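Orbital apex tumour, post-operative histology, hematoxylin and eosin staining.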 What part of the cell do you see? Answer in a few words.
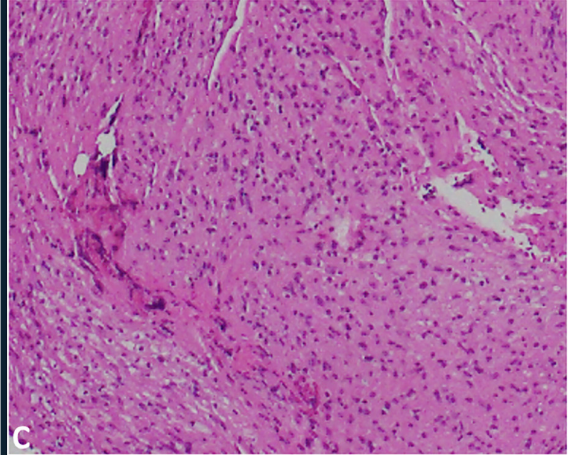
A: Eosinophilic cytoplasm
